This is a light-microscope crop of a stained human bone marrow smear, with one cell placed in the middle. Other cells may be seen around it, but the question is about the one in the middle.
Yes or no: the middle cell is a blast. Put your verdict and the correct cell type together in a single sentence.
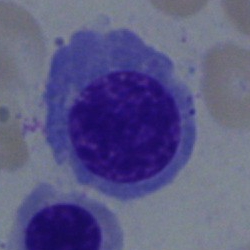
No, the central cell is classed as a normoblast and not as a blast.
